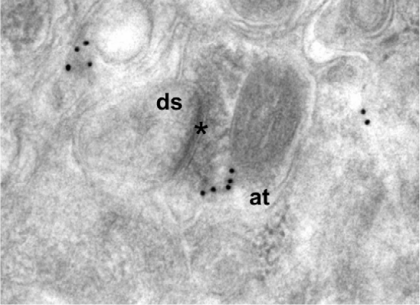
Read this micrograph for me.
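An electron micrograph of neuropil showing a synapse between an axonal terminal and a dendritic spine. The spine lies above left and the terminal below right, separated by a dark, thickened contact marked by an asterisk. An elongated, dense, striated mitochondrion lies beside the contact. A small cluster of black gold particles sits at the terminal side of the contact, and further scattered clusters of gold particles lie in nearby profiles at the upper left and right. Surrounding profiles are membrane-bound processes of varied size, some with pale vesicular contents.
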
